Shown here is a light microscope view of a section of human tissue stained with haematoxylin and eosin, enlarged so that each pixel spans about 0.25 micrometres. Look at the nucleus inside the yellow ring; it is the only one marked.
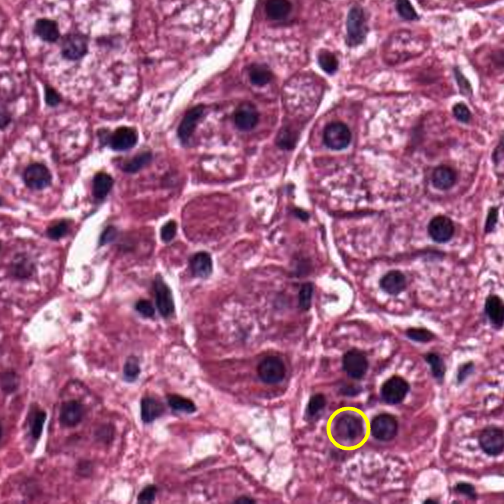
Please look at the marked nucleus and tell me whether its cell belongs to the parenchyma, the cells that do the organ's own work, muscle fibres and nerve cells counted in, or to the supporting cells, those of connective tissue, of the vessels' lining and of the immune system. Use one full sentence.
What the marked nucleus belongs to is a parenchymal cell, namely an adrenal cortical cell.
